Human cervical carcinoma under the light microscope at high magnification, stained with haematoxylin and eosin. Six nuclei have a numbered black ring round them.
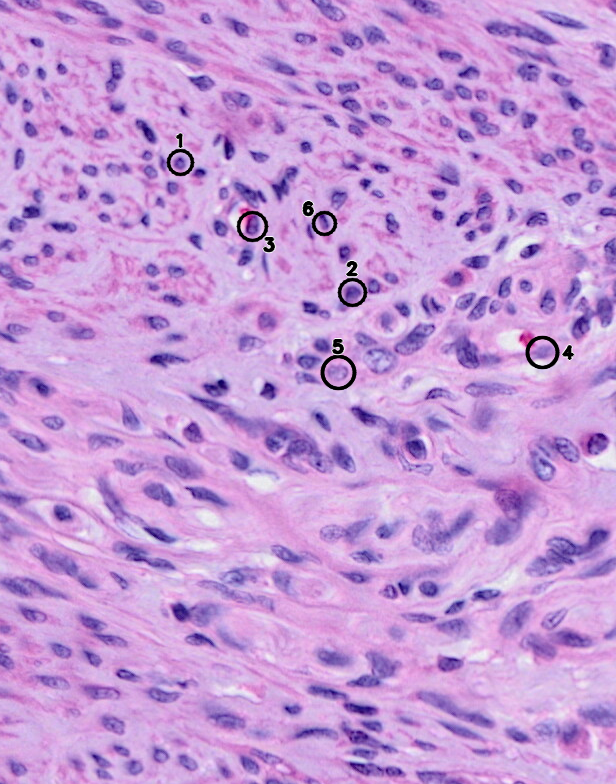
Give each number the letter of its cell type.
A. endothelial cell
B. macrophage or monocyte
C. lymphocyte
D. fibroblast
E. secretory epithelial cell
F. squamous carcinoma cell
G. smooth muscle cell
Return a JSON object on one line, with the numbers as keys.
{"1": "G", "2": "G", "3": "A", "4": "A", "5": "A", "6": "G"}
